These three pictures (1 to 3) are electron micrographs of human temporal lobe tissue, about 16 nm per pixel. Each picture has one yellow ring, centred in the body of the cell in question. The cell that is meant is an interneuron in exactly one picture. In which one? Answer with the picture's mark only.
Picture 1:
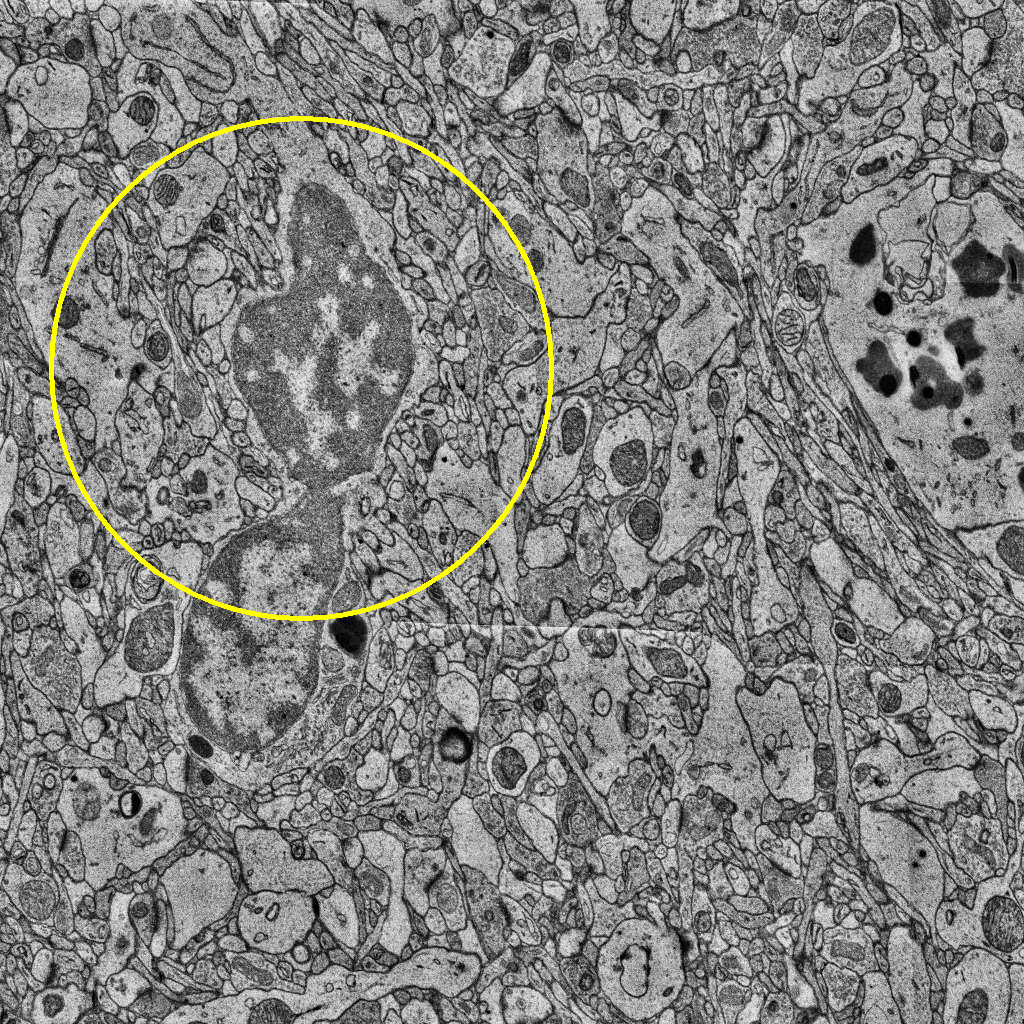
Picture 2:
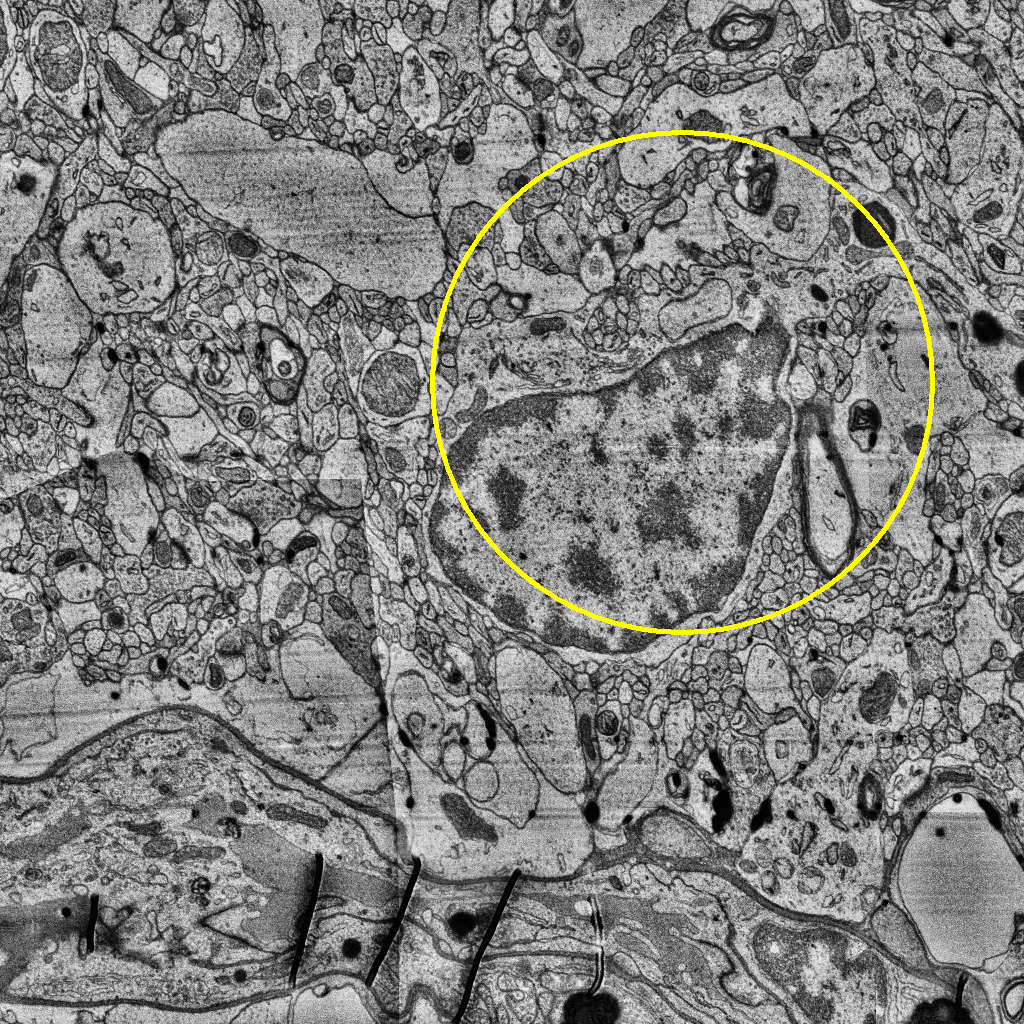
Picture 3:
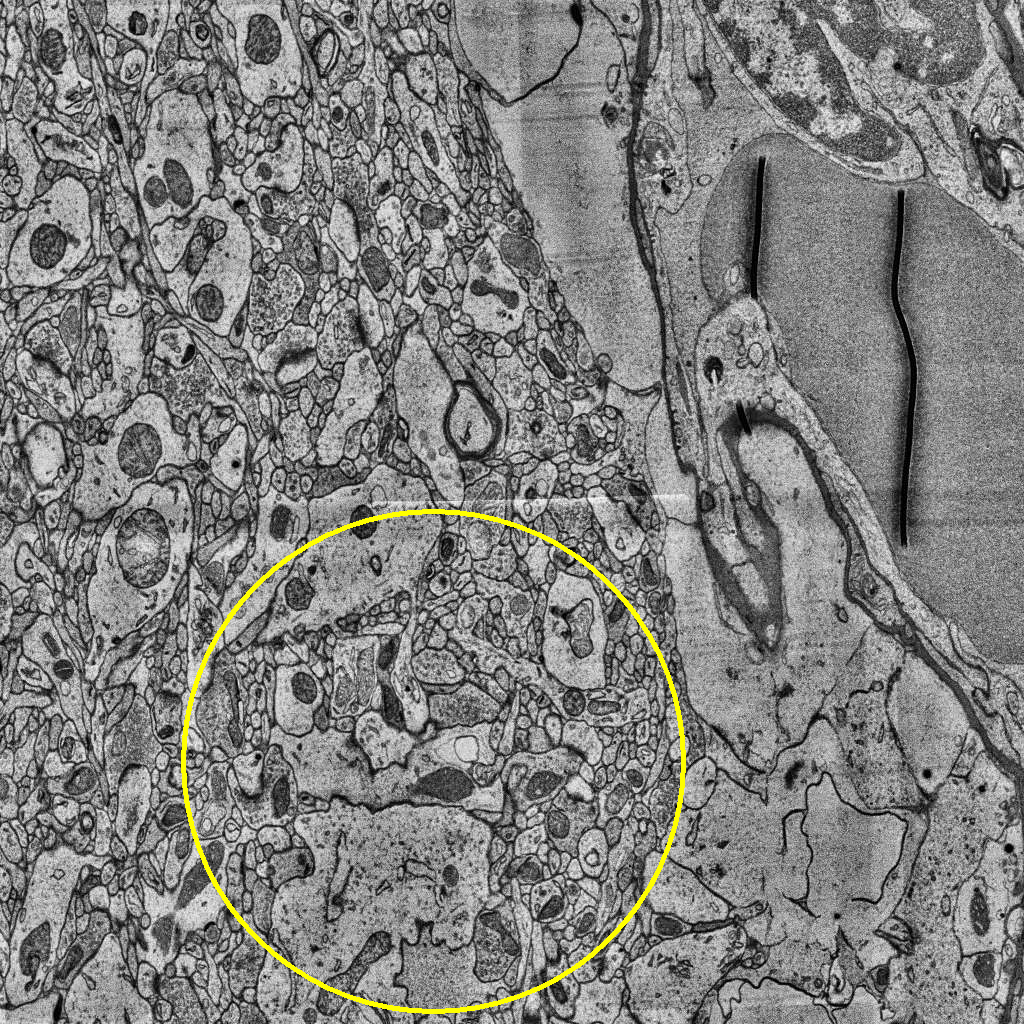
3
